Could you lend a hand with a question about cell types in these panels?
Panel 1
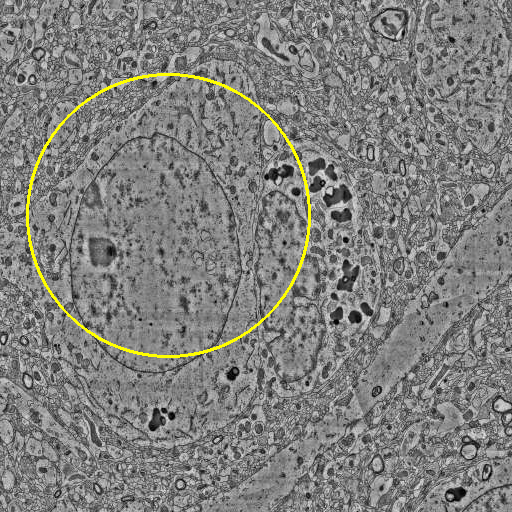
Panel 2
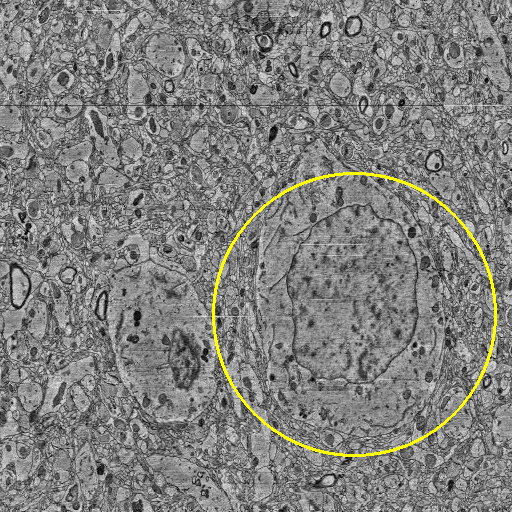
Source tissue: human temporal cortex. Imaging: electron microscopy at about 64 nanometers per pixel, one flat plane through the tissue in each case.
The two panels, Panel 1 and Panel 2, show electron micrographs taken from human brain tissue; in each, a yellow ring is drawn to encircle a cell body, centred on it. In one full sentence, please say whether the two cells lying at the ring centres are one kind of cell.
Yes, the cells at the ring centres in the two panels are one kind of cell.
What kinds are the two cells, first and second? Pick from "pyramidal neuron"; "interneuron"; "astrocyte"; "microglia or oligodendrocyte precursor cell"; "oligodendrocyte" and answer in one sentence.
The second cell is a pyramidal neuron, just as the first is.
